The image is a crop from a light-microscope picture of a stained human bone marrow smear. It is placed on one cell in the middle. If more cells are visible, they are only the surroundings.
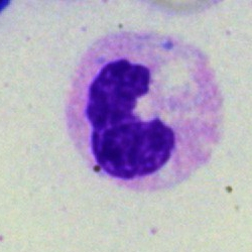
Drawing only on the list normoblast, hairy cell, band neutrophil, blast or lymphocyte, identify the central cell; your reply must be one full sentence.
The middle cell in this particular crop is a band neutrophil.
